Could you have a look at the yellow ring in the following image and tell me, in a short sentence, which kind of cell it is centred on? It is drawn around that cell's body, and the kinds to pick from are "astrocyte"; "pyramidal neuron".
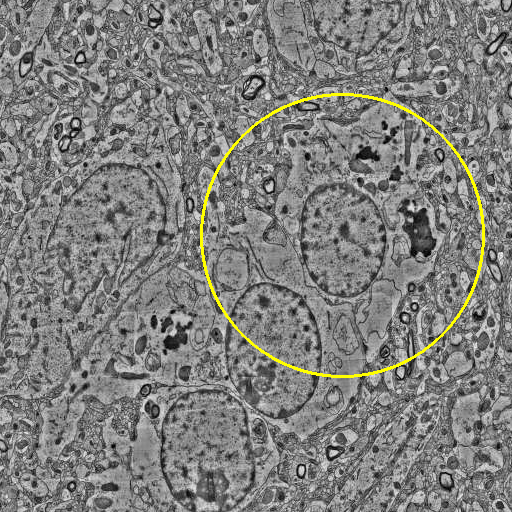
The ring is centred on the body of an astrocyte.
